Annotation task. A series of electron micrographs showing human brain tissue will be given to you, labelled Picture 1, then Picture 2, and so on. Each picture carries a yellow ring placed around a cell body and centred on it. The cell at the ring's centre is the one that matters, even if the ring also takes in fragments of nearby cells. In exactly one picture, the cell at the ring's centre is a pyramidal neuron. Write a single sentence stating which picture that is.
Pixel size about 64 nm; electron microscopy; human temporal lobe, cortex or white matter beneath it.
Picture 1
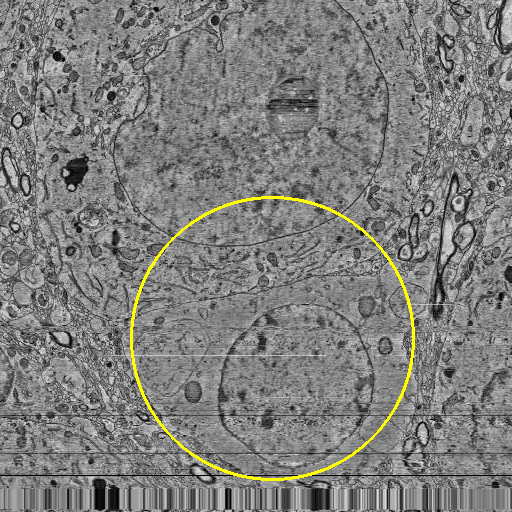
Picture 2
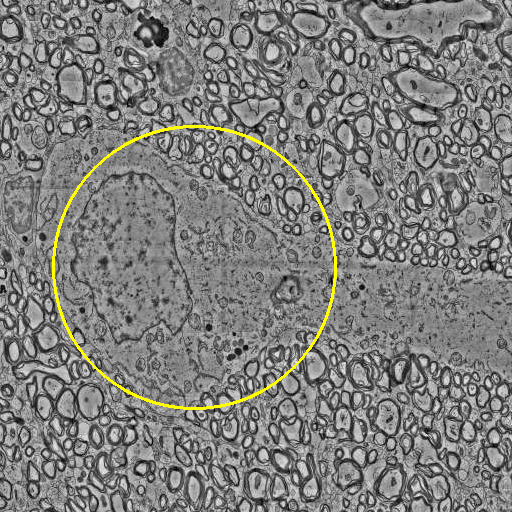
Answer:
Picture 2 holds the requested cell at the very centre of its ring.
